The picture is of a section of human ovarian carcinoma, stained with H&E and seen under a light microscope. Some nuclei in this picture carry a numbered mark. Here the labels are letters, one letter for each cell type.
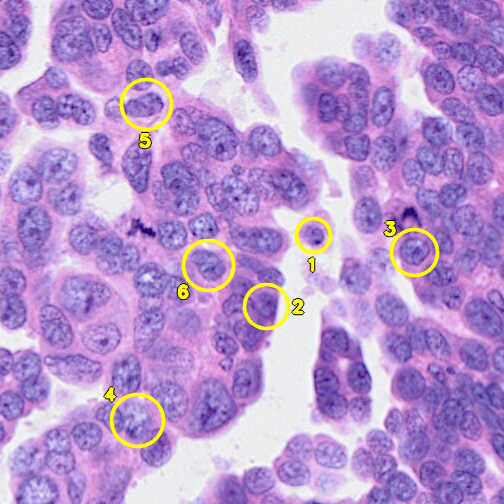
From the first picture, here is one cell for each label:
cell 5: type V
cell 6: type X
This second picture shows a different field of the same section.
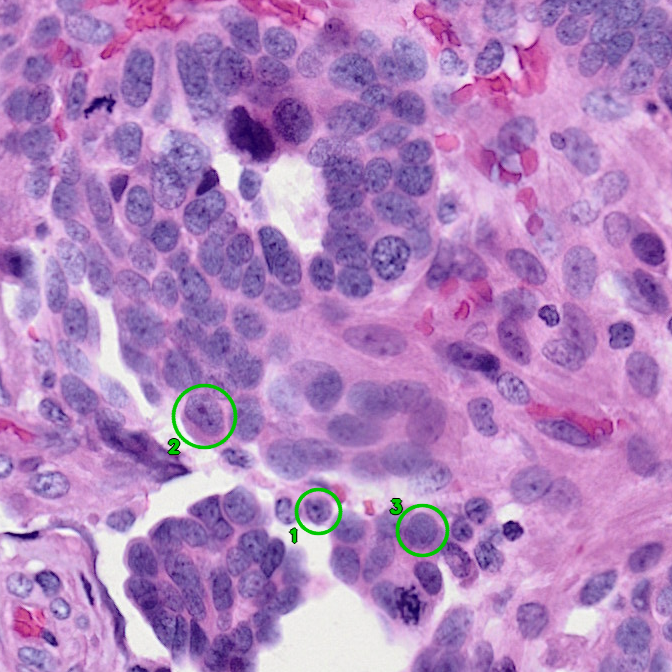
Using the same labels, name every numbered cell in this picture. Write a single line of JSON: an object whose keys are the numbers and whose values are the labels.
{"1": "type V", "2": "type X", "3": "type X"}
